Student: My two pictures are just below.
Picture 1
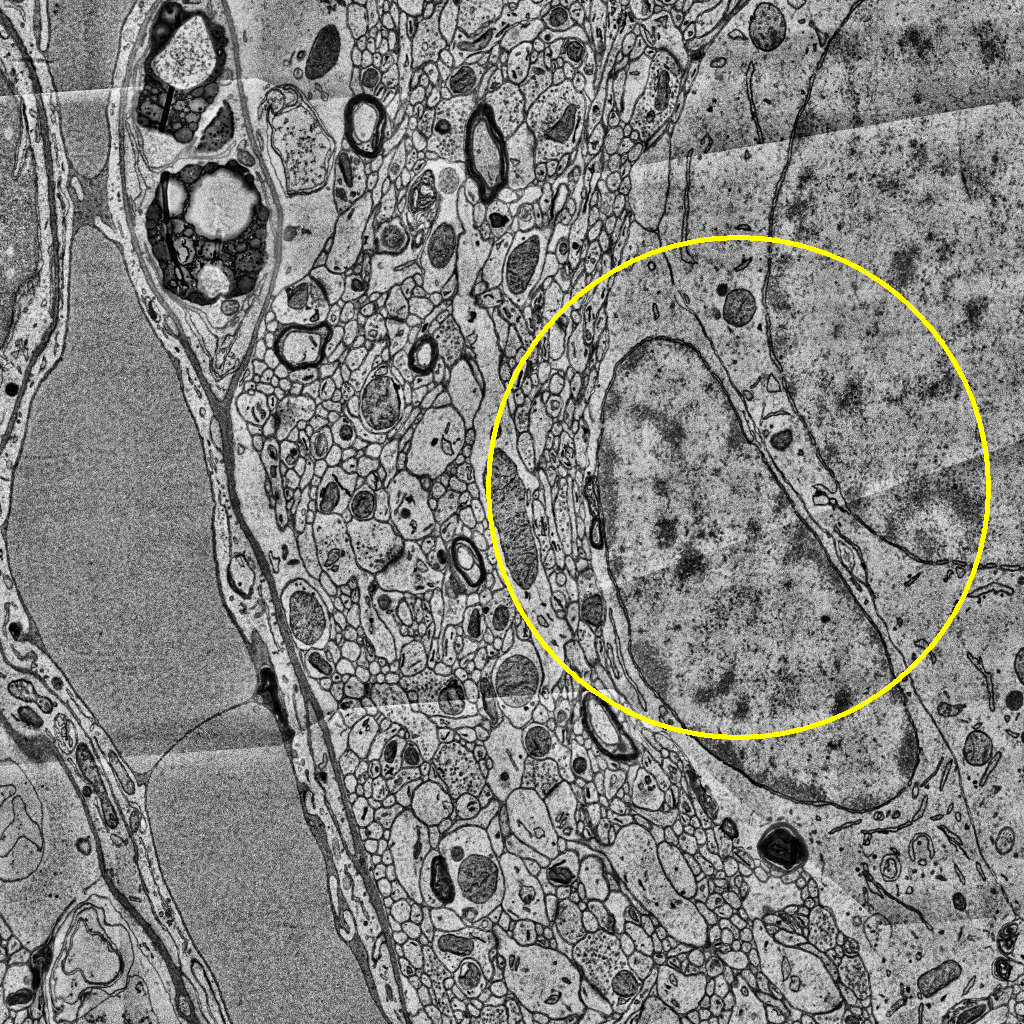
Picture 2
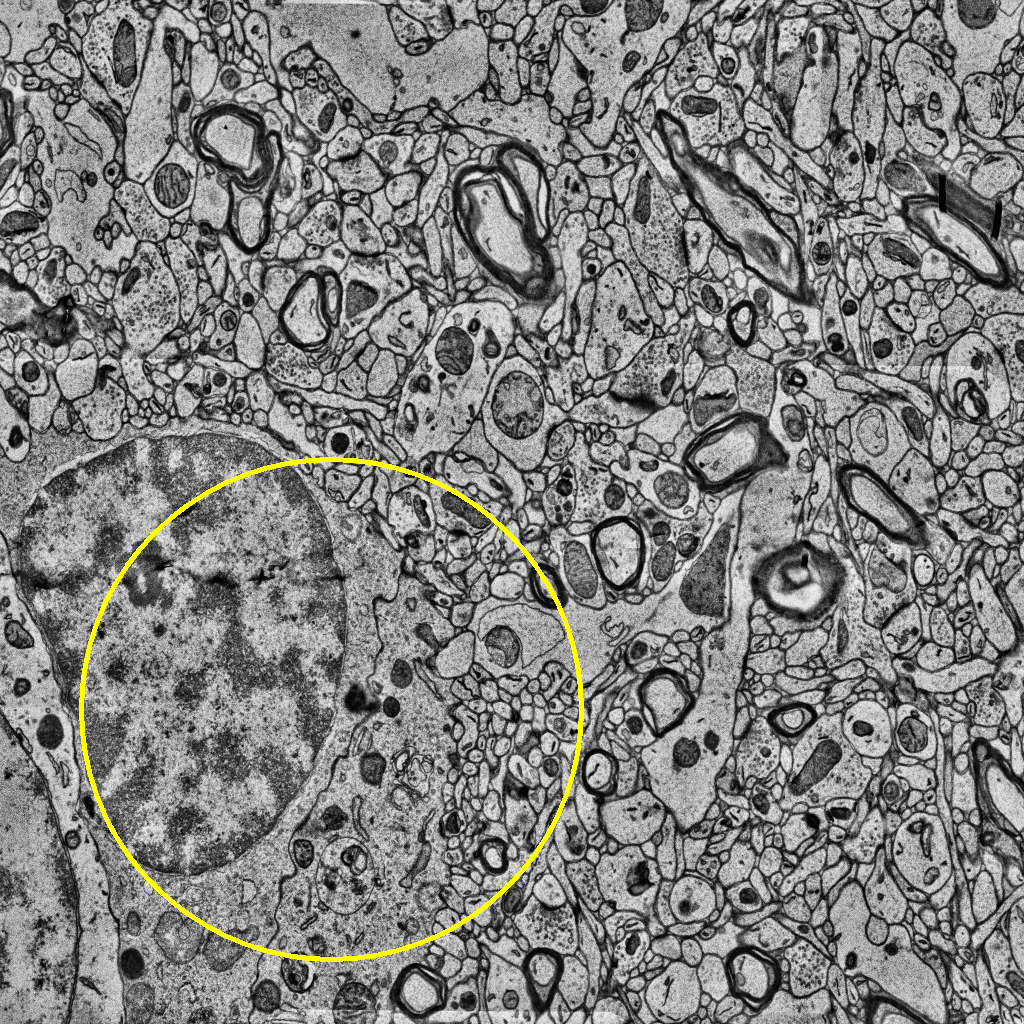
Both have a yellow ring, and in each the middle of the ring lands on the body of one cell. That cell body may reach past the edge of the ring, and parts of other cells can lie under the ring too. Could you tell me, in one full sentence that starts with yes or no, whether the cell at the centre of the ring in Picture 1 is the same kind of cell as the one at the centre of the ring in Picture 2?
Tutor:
No, the two cells are of two kinds.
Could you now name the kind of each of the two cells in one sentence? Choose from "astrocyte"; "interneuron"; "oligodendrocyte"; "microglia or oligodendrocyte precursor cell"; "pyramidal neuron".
For the first picture it is a microglial cell or oligodendrocyte precursor cell; for the second, an oligodendrocyte.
